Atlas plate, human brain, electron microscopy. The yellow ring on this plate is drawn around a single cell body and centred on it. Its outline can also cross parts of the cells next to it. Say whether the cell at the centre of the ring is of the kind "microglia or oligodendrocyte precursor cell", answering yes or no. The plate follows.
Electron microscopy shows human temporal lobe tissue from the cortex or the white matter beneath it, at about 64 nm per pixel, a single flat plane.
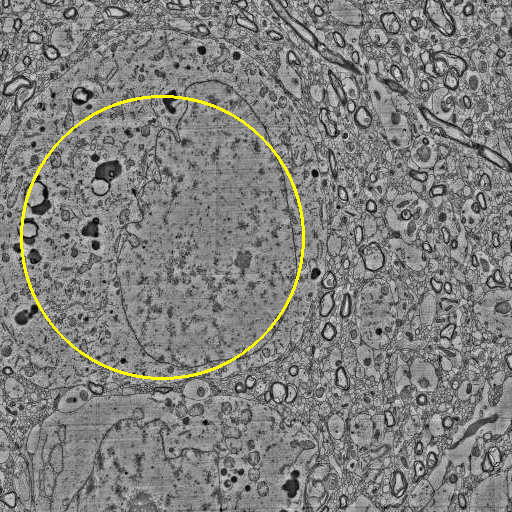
No, the cell is of another kind.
